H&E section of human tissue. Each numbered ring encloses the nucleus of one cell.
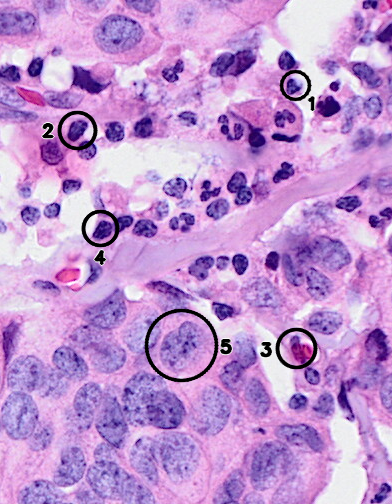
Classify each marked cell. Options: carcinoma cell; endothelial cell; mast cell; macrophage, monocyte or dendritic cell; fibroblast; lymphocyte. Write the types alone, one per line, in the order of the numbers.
lymphocyte
lymphocyte
endothelial cell
lymphocyte
carcinoma cell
